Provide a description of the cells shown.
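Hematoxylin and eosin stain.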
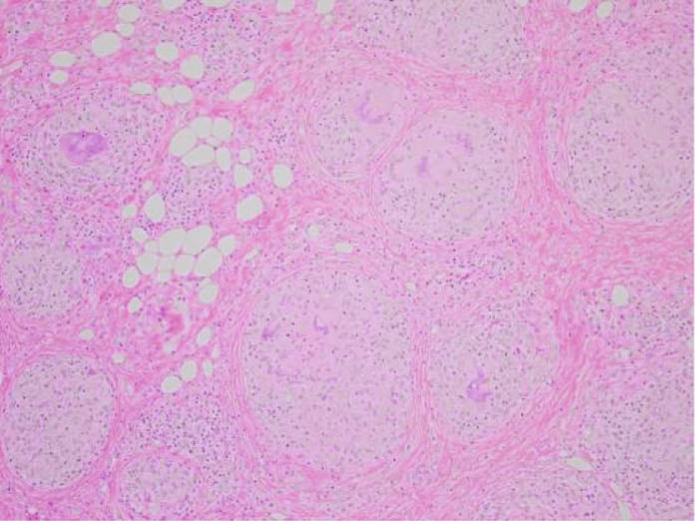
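Subcutaneous tissue filled with numerous epithelioid cell granulomas with Langhans giant cells, seen at lower magnification. Round, closely packed nodules of pale pink epithelioid cells are each enclosed by thin concentric bands of fibrous tissue. Several nodules contain a large purple multinucleated giant cell with peripherally arranged nuclei. There are no necrotic centres. Between the nodules lie fibrous septa with scattered small inflammatory cells, and clusters of empty round fat cells of subcutaneous adipose tissue are present in the upper left.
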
